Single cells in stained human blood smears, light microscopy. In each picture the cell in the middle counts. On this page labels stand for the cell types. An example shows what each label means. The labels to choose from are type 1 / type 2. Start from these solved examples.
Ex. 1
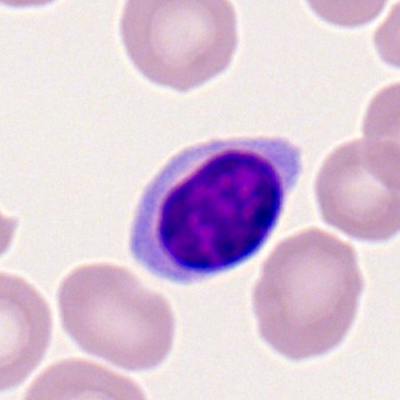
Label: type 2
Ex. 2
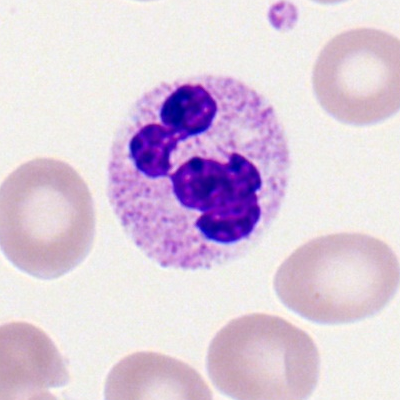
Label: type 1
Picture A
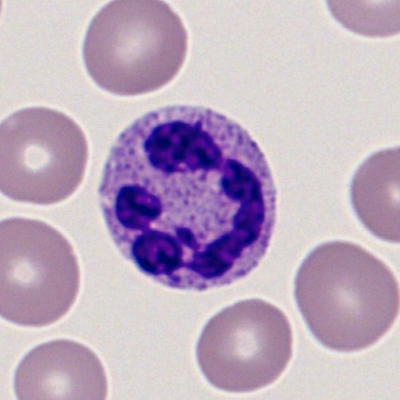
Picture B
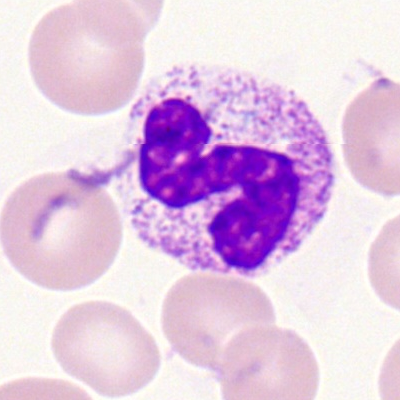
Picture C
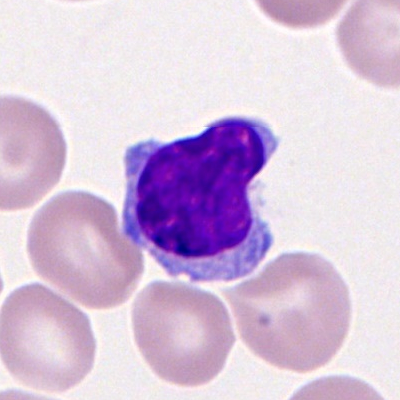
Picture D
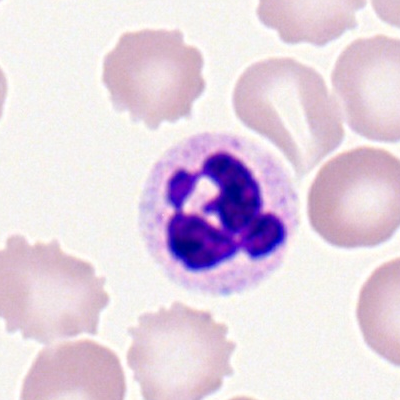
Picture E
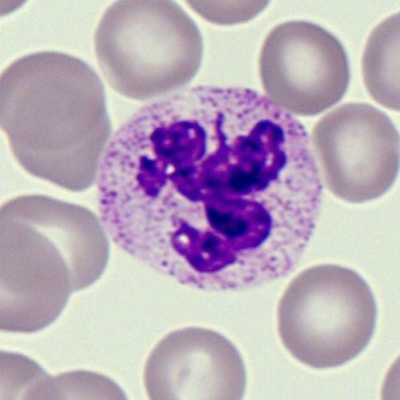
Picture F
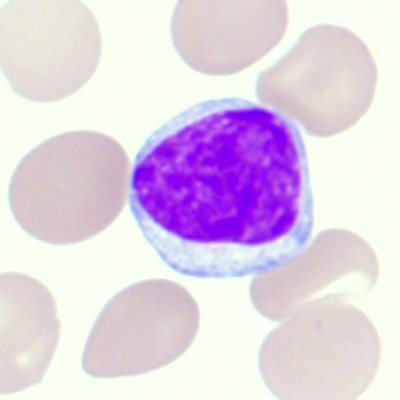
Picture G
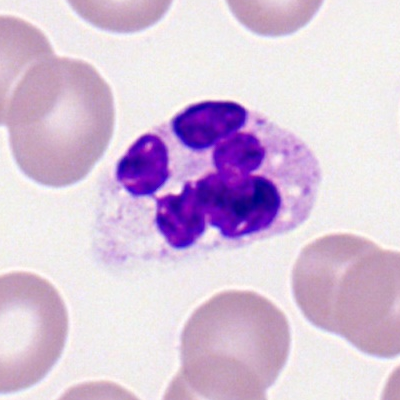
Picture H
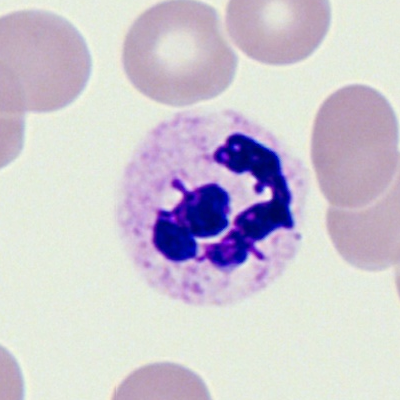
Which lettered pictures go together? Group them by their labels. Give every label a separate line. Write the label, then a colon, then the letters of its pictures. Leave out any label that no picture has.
type 1: A, B, D, E, G, H
type 2: C, F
